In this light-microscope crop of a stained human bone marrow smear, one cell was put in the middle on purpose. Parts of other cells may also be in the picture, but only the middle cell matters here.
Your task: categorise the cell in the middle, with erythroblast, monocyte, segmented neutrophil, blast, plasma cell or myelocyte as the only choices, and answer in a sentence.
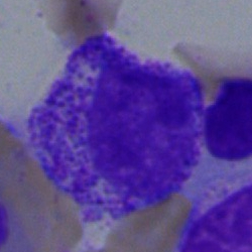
The centered cell in this crop is a myelocyte.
